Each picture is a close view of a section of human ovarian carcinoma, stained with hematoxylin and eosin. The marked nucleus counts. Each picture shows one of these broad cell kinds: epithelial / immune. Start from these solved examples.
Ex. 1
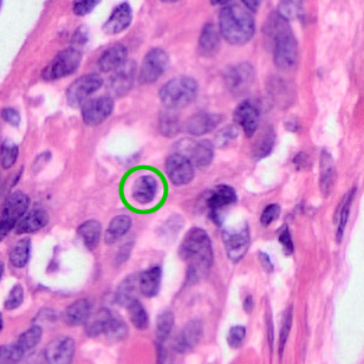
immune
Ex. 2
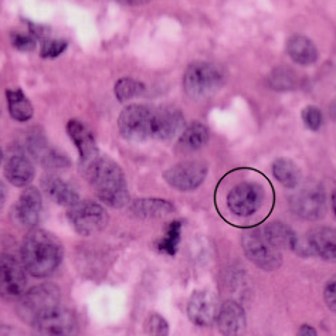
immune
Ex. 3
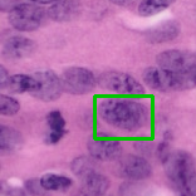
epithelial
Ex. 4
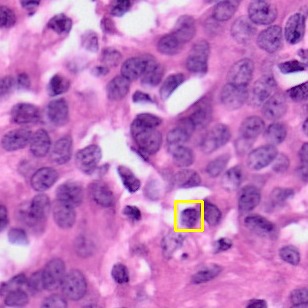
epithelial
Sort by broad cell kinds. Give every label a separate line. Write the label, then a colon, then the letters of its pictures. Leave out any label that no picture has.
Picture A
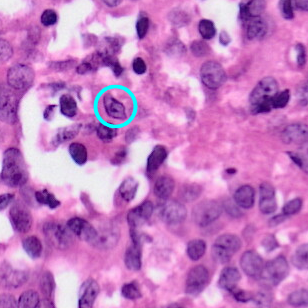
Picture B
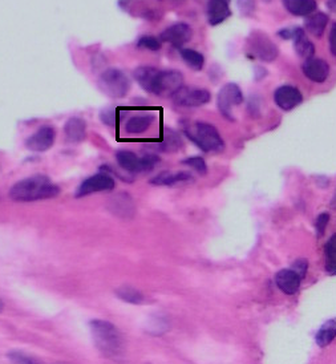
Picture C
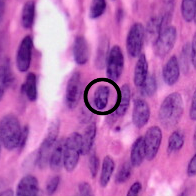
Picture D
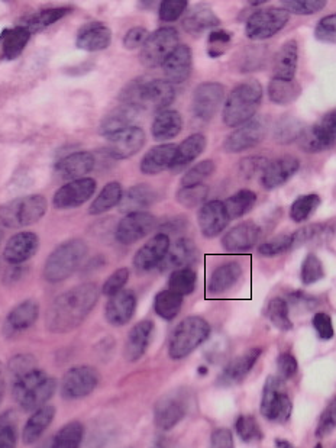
epithelial: B, D
immune: A, C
